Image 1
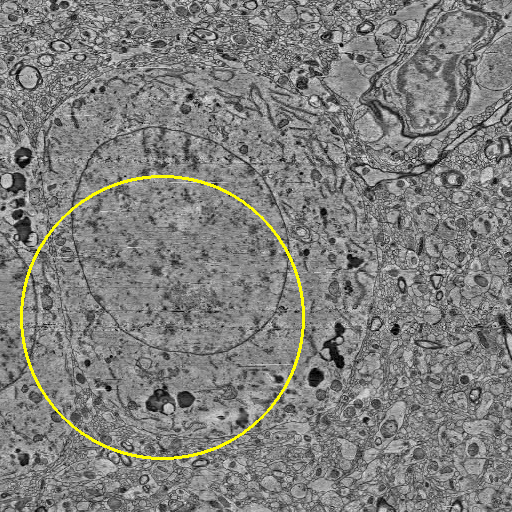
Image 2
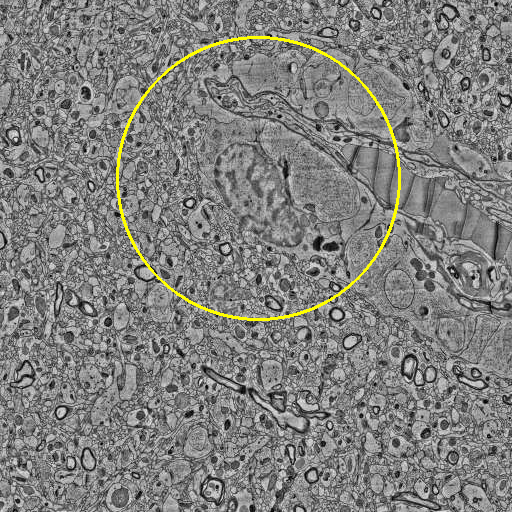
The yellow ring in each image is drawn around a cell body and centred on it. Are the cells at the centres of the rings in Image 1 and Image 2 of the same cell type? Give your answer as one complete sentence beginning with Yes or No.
No, the two cells are of two separate types.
